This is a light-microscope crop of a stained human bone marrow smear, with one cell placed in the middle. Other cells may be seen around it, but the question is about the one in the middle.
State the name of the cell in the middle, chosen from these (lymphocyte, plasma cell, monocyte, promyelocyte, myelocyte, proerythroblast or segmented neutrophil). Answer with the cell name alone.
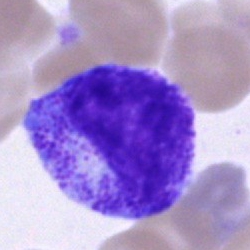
promyelocyte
